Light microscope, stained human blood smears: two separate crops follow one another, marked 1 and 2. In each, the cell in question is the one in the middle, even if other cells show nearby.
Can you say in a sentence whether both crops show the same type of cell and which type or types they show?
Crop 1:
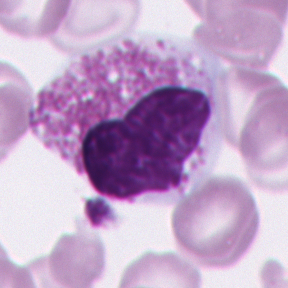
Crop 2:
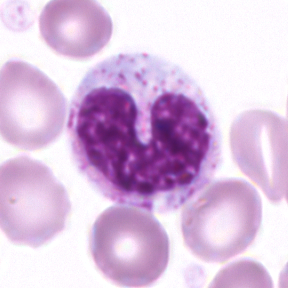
No, crop 1 displays an eosinophil, and crop 2 displays a band neutrophil.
